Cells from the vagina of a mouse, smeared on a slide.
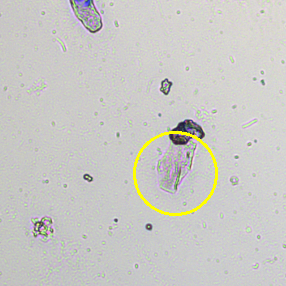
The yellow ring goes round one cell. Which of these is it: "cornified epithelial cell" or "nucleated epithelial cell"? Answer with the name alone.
cornified epithelial cell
